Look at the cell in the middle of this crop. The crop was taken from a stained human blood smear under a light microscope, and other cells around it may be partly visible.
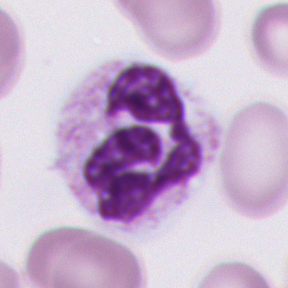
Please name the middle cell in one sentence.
For this crop, the cell in the middle is a segmented neutrophil.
